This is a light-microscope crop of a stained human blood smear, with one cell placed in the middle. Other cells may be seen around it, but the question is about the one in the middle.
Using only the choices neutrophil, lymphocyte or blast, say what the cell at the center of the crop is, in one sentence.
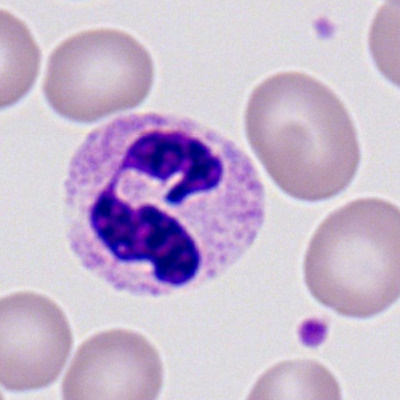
The central cell shown in this smear crop is a neutrophil.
